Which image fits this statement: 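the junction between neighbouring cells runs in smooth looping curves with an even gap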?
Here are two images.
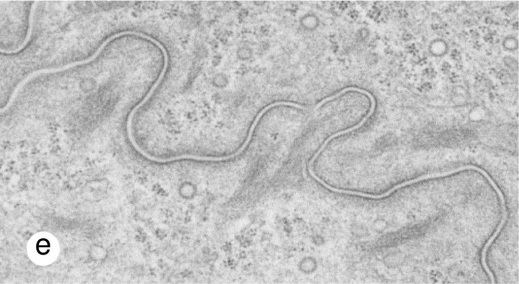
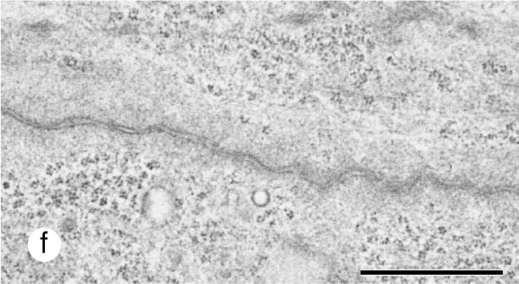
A: The first image.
